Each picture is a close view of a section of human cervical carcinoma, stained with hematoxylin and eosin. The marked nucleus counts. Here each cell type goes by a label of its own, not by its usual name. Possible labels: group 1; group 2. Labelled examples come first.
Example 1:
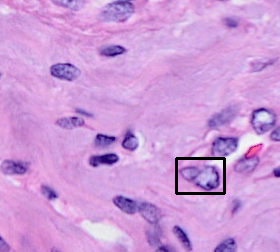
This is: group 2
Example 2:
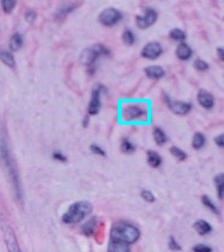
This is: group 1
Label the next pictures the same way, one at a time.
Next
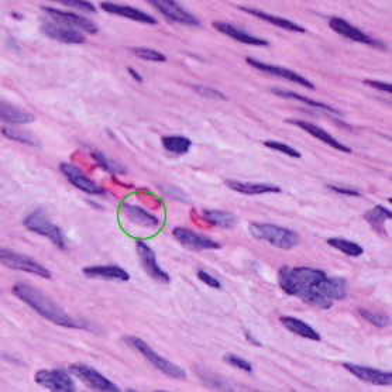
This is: group 2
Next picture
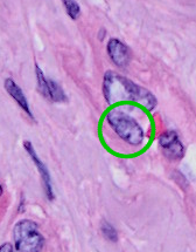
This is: group 2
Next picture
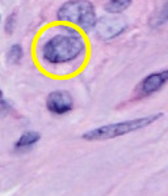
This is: group 2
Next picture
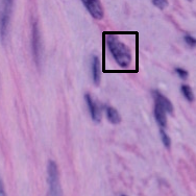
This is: group 2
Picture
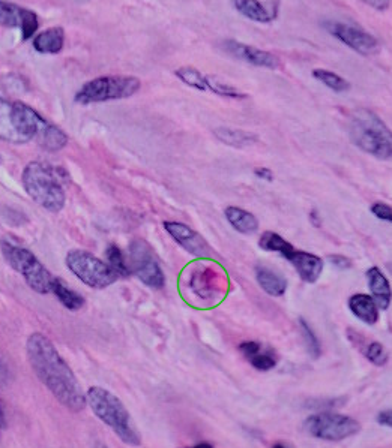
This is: group 2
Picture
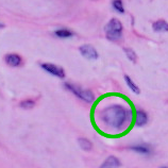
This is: group 2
